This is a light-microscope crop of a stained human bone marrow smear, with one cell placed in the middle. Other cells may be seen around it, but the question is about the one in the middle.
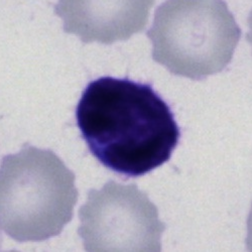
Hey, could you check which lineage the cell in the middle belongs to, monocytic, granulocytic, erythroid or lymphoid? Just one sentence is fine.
Of lymphoid lineage is the cell at the center of the crop.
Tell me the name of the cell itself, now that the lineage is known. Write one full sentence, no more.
As for the central cell, it is a lymphocyte.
